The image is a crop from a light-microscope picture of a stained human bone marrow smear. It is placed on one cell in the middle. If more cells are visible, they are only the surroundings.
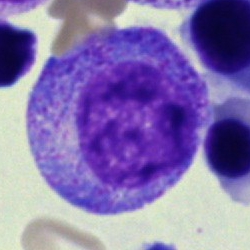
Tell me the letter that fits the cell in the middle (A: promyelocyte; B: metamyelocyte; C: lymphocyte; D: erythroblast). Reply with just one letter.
A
